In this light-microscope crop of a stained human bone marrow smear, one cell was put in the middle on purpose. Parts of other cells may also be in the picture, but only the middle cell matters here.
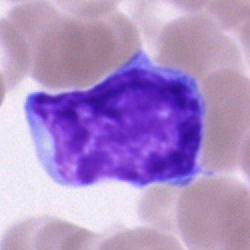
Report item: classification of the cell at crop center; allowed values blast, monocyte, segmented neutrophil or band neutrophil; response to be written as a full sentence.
Where the crop is centred, there is a blast.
